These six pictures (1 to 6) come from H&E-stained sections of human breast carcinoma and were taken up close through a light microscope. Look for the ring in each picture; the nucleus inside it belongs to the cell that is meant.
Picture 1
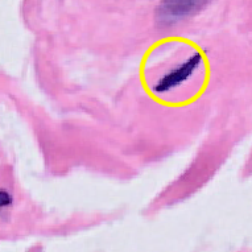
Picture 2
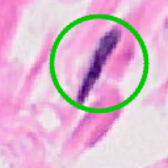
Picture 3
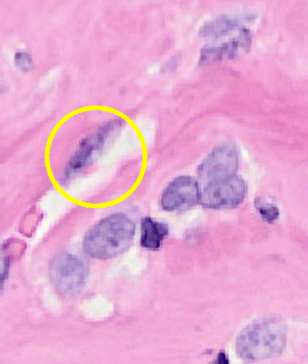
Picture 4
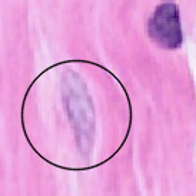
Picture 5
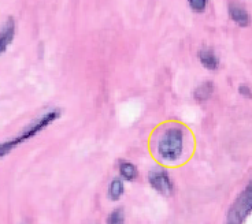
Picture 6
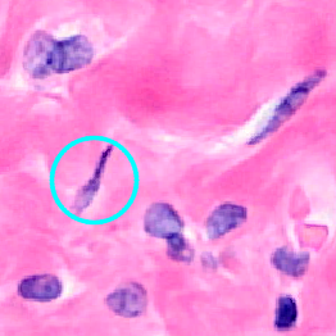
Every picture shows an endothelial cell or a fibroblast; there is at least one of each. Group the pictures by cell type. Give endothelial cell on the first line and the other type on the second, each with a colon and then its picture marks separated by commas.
endothelial cell: 3, 5
fibroblast: 1, 2, 4, 6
